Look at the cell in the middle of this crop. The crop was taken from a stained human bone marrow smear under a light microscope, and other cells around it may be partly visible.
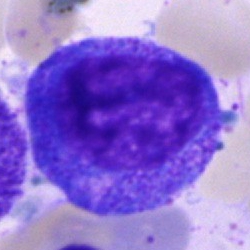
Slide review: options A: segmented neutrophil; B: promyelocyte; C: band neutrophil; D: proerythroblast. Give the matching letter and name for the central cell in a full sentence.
Option B correctly states that the central cell is a promyelocyte.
